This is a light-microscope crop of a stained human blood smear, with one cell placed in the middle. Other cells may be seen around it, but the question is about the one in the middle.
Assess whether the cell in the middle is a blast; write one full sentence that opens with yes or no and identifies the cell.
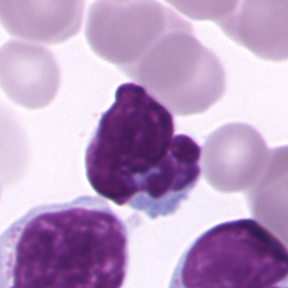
No, not a blast here; the centered cell is a large granular lymphocyte.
